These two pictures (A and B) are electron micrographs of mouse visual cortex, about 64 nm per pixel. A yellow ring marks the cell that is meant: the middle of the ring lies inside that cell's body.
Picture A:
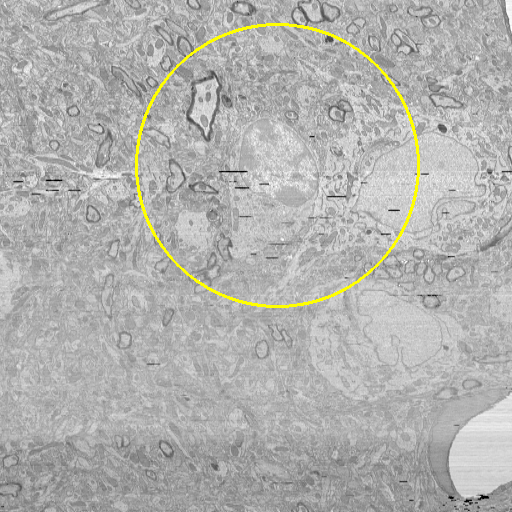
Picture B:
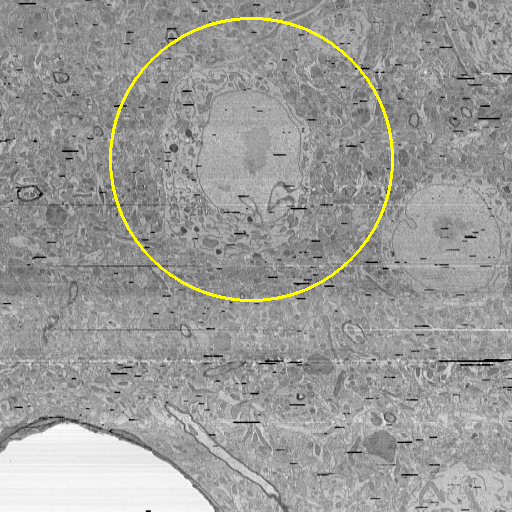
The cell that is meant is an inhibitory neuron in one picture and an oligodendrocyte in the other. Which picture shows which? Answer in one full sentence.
It is picture A that shows an oligodendrocyte, and picture B that shows an inhibitory neuron.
